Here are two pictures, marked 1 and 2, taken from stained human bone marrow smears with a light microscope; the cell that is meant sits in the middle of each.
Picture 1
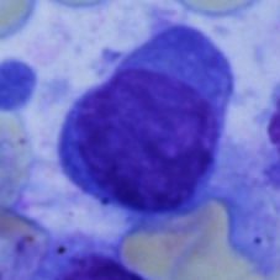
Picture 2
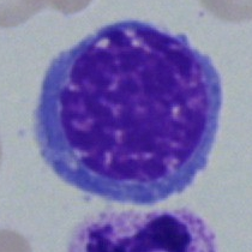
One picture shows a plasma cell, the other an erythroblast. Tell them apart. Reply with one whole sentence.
The cell in picture 1 is a plasma cell, and the one in picture 2 is an erythroblast.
